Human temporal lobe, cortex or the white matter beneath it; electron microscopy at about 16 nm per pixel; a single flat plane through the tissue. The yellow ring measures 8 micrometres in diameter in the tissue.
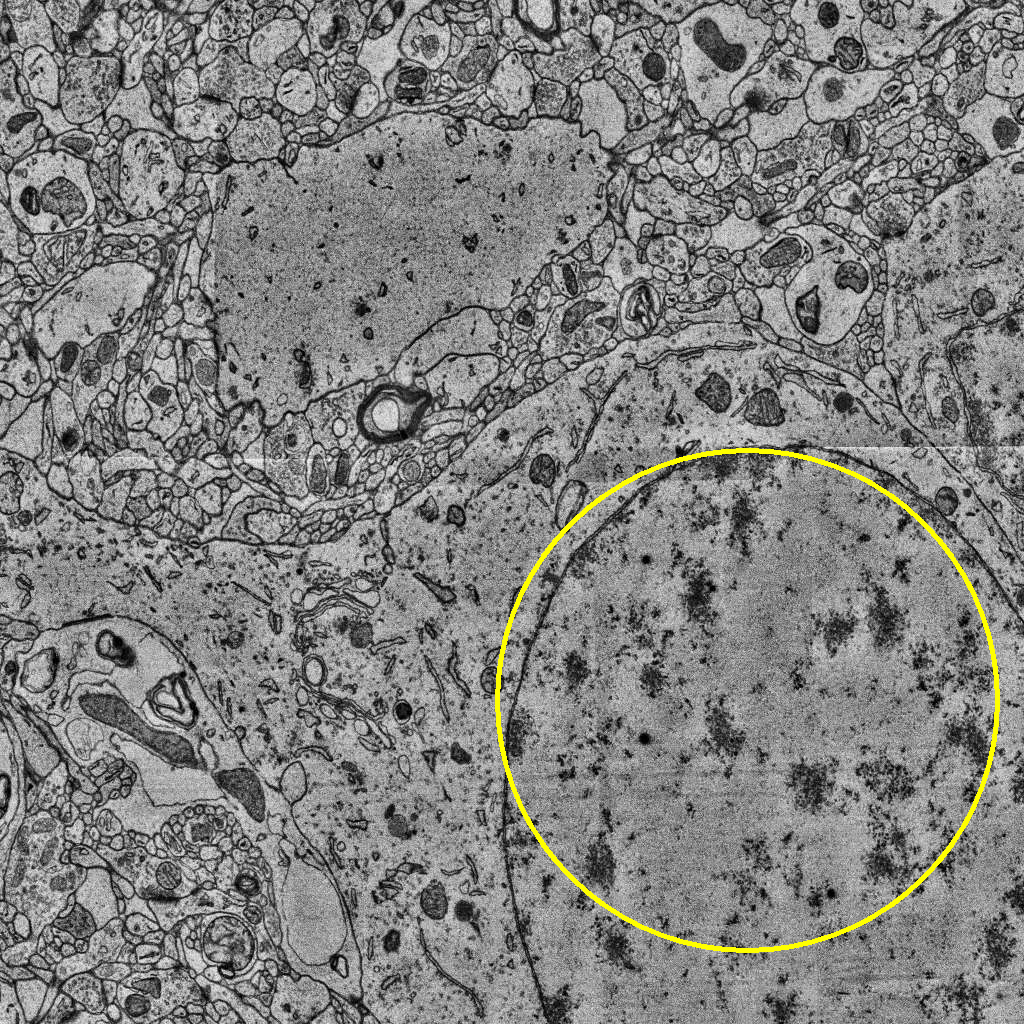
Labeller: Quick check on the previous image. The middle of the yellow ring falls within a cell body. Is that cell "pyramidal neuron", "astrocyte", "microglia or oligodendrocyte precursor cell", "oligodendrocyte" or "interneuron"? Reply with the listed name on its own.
pyramidal neuron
